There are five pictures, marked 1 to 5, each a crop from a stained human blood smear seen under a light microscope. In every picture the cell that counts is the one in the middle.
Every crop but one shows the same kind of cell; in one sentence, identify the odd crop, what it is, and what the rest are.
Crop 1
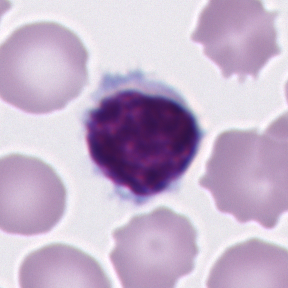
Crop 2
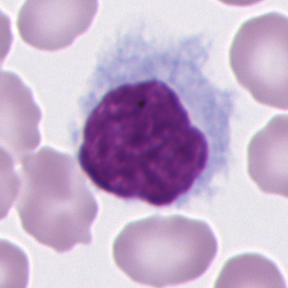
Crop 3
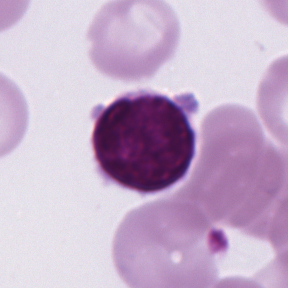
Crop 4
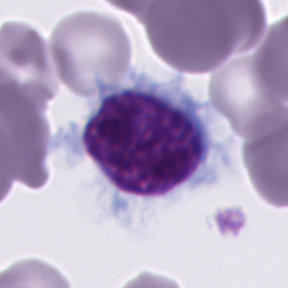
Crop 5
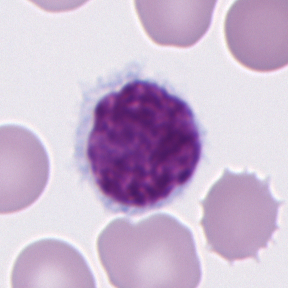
Seen in crop 3 is a typical lymphocyte, and seen in all other crops are hairy cells.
